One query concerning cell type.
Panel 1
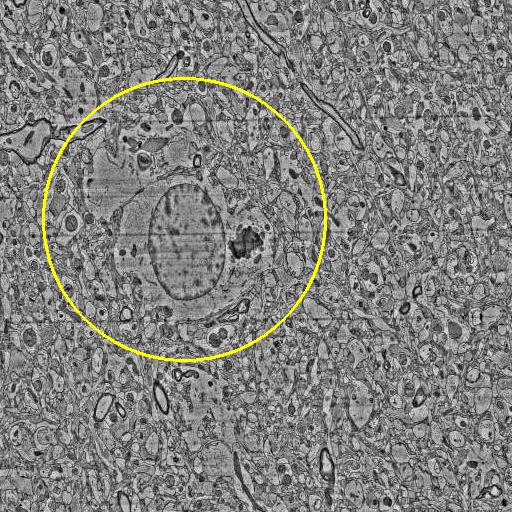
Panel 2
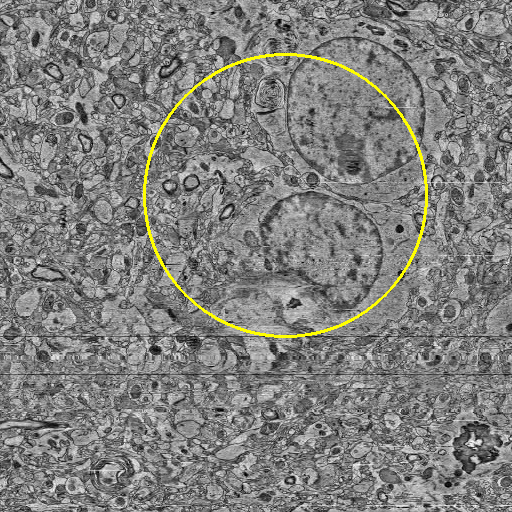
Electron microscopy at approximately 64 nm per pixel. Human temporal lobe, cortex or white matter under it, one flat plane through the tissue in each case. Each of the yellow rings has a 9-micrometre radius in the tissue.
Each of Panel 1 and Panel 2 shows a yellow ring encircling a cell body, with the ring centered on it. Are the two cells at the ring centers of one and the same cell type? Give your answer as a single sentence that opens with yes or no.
Yes, the cell centered in Panel 1 and the one in Panel 2 share a type.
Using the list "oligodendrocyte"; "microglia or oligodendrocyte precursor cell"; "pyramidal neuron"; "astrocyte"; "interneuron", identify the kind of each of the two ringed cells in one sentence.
Each cell at the centre of a ring is an astrocyte.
